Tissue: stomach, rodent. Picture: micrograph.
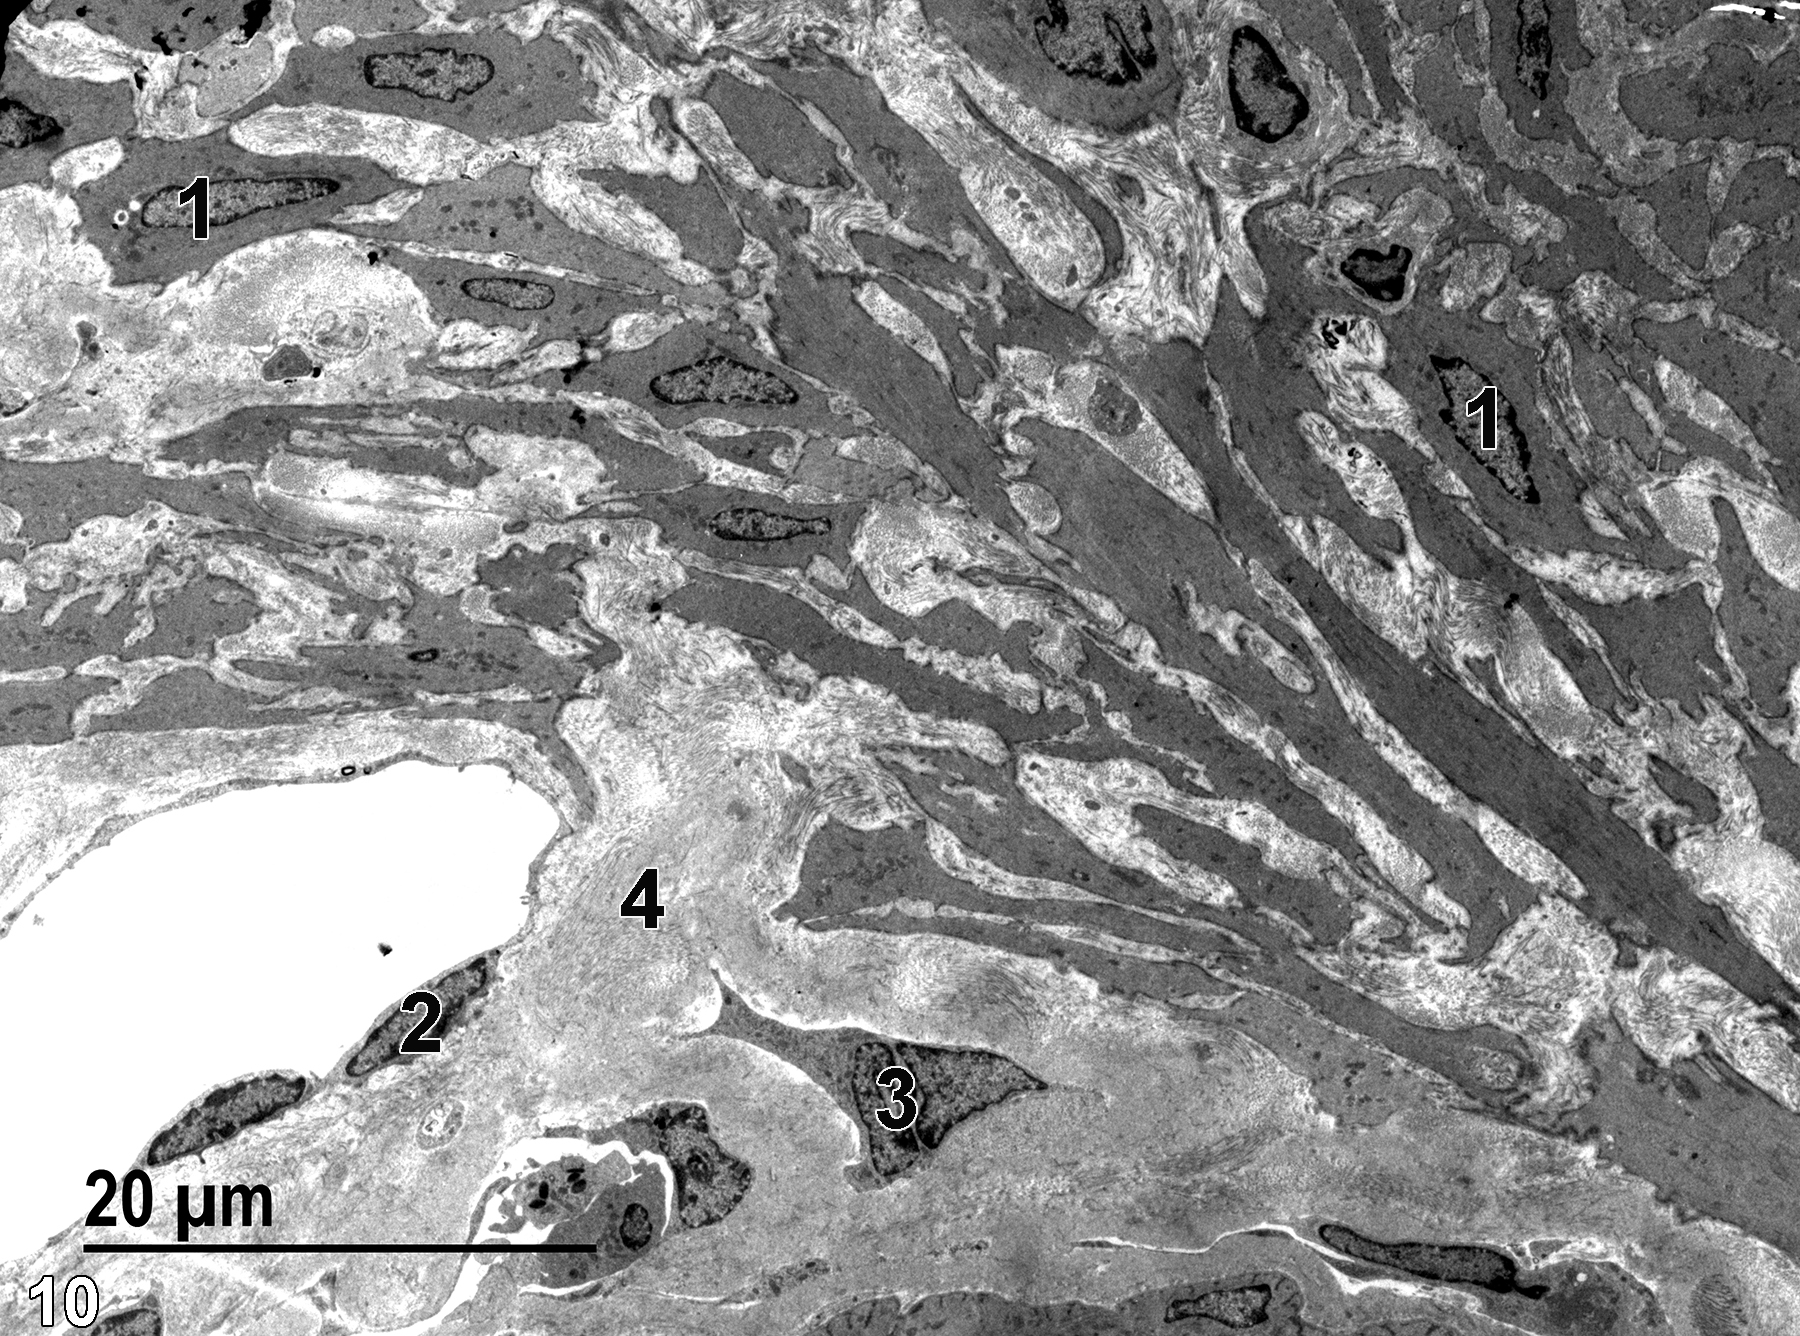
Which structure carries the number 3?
At 3: fibroblasts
